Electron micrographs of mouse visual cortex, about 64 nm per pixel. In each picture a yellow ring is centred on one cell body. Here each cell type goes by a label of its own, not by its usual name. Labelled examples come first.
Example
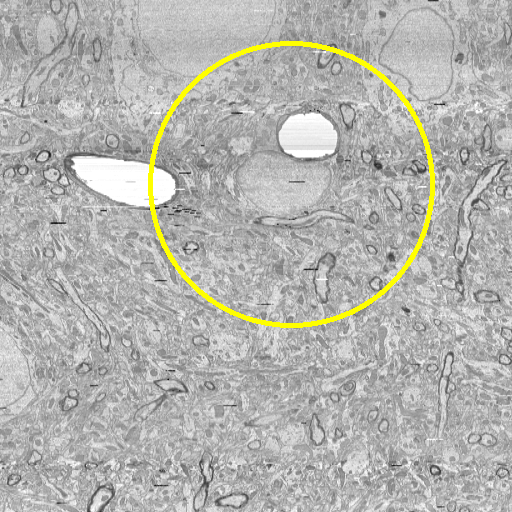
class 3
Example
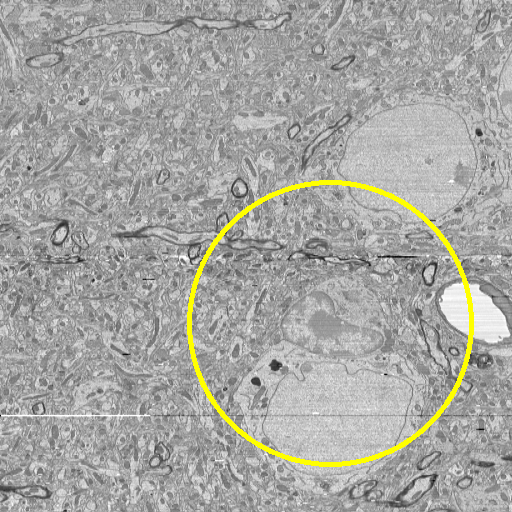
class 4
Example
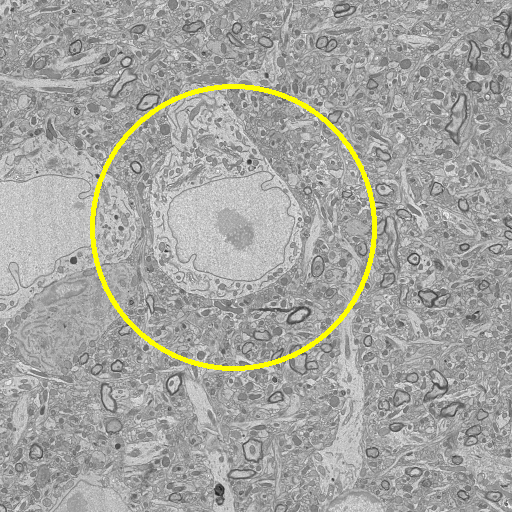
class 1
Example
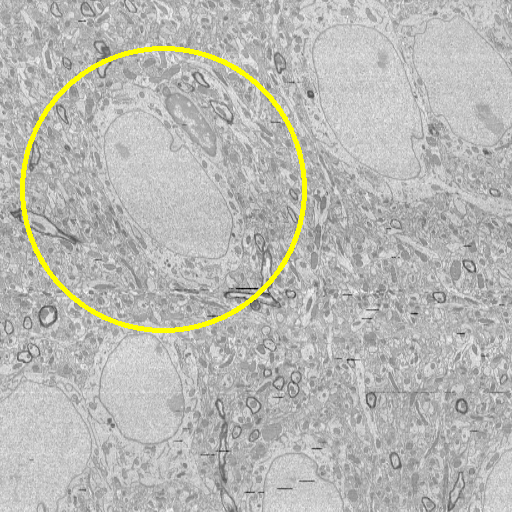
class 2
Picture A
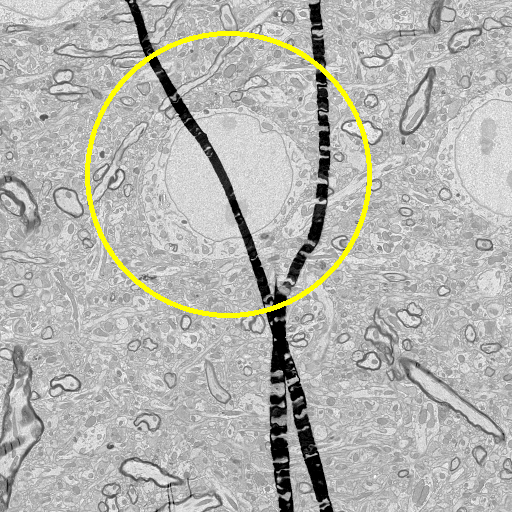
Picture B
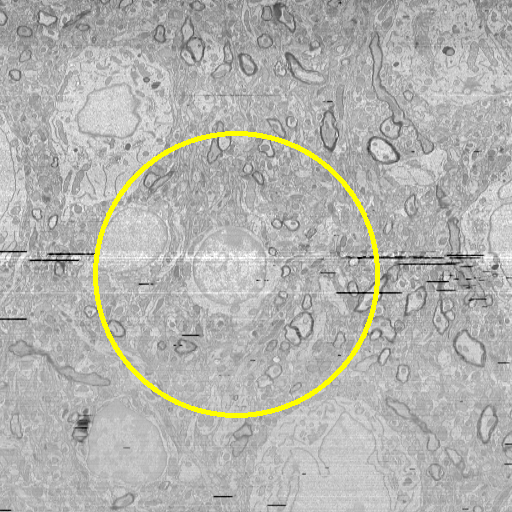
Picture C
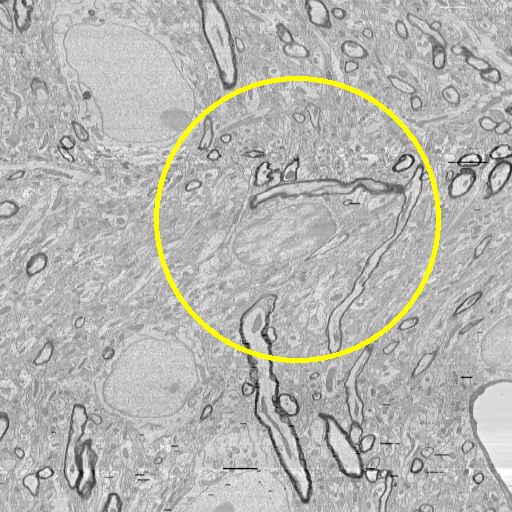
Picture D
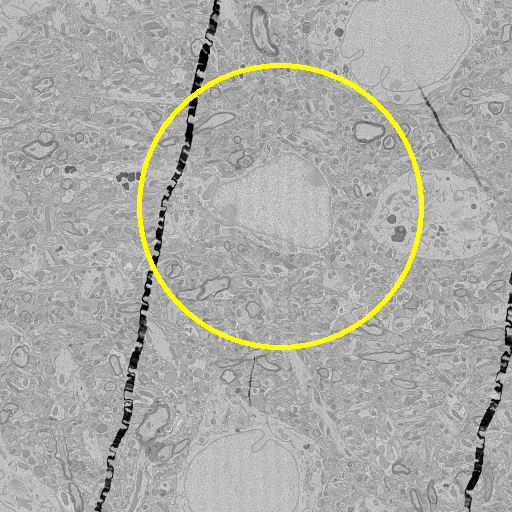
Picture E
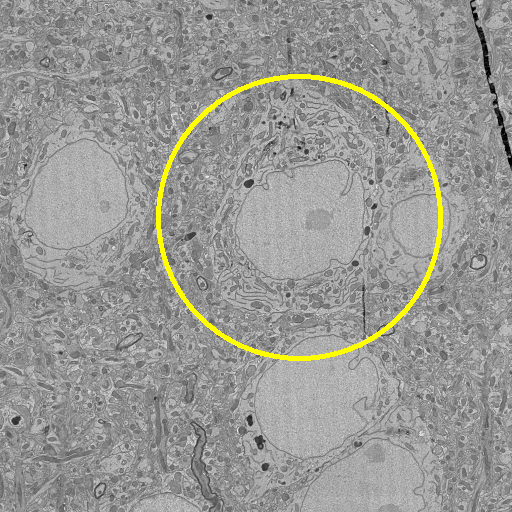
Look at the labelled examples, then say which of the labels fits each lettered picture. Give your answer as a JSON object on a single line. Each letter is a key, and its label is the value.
{"A": "class 2", "B": "class 4", "C": "class 4", "D": "class 3", "E": "class 1"}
